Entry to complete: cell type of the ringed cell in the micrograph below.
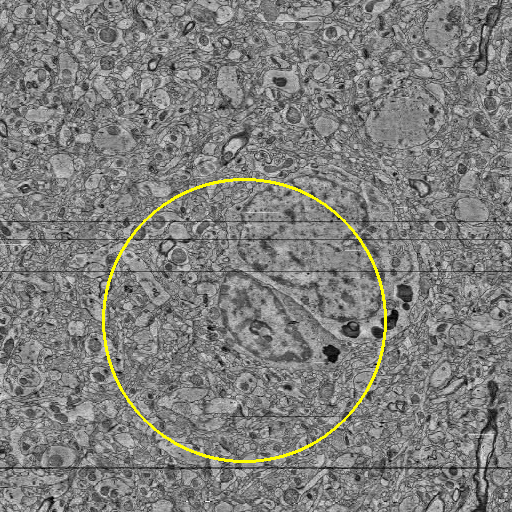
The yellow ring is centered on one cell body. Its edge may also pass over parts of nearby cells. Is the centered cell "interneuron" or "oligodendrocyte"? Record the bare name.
oligodendrocyte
